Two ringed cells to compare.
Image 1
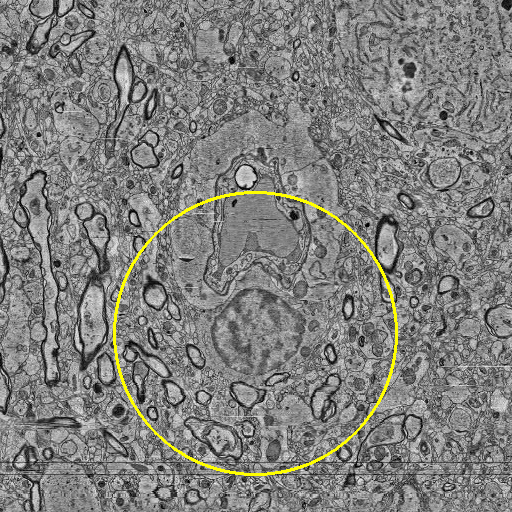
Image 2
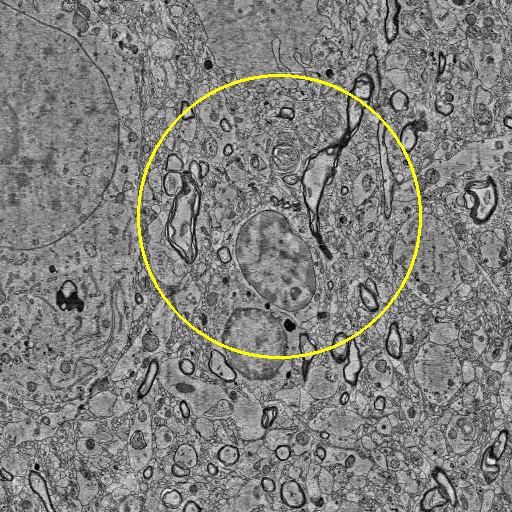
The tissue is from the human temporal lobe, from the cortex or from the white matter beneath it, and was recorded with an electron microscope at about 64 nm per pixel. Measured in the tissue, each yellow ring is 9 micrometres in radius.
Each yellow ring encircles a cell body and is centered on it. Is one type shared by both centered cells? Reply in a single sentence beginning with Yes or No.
No, two types are found among the cells at the centers of the rings.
